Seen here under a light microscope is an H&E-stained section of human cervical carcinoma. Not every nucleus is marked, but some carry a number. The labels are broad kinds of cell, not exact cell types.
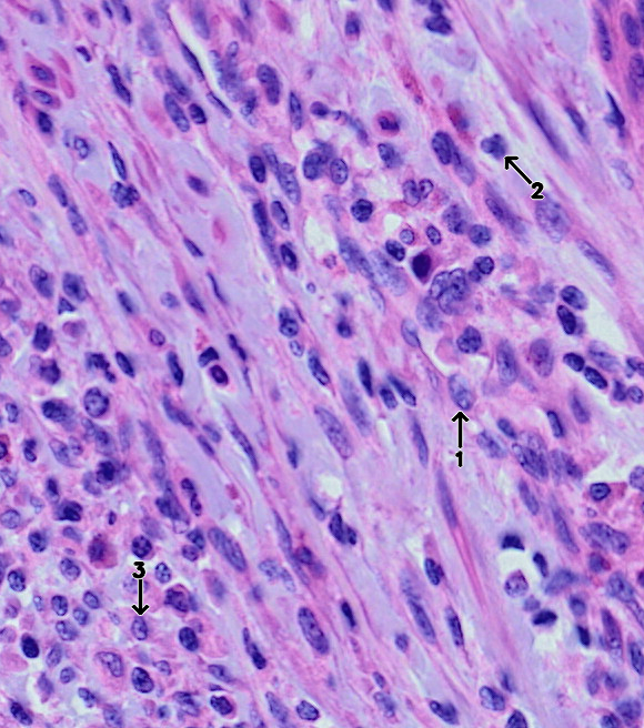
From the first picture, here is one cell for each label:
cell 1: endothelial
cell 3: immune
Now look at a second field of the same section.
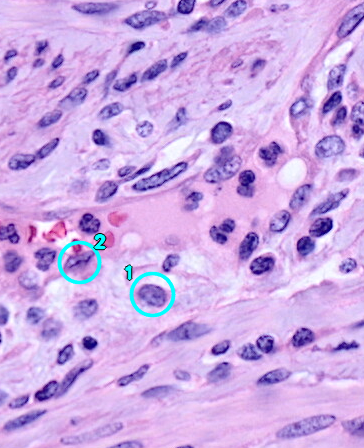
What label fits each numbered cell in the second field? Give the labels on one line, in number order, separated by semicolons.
immune; endothelial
